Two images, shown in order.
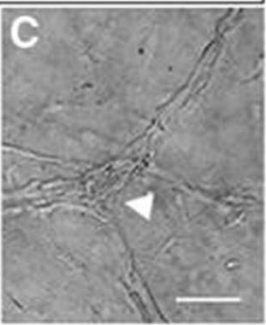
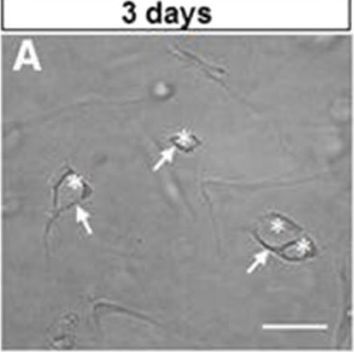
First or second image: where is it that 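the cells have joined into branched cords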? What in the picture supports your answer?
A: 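Second image: isolated rounded cells, each with a clear internal space, lie apart from one another. First image: many elongated cells form continuous branching cords.
Hence: the first image.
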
